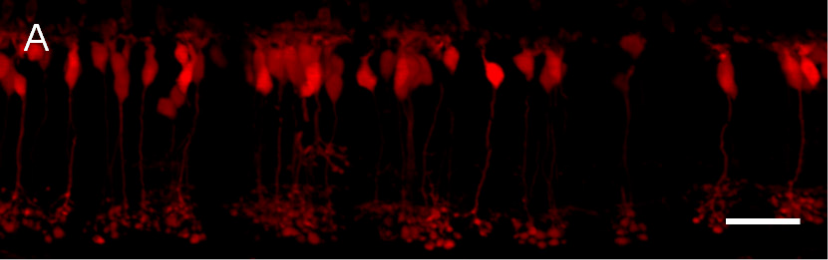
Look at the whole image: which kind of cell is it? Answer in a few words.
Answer: Bipolar cells.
